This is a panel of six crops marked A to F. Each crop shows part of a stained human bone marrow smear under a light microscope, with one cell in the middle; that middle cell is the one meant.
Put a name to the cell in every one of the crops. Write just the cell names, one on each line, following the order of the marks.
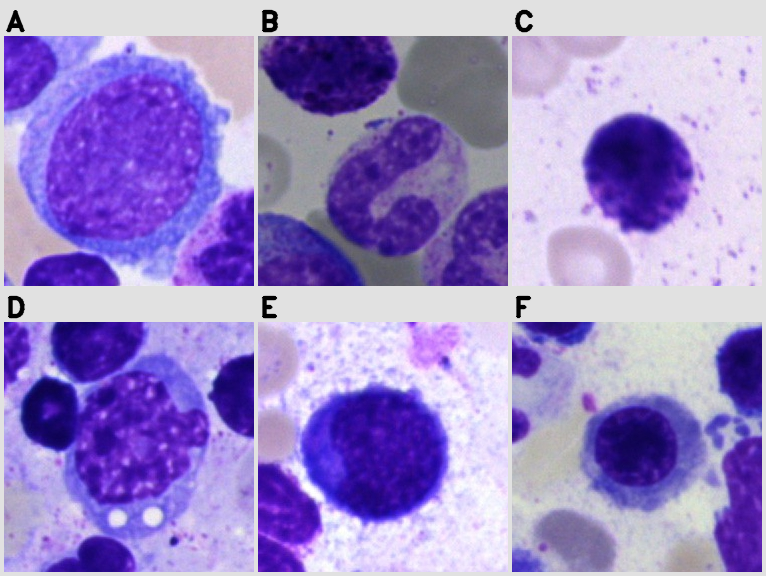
blast
segmented neutrophil
basophil
monocyte
blast
erythroblast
